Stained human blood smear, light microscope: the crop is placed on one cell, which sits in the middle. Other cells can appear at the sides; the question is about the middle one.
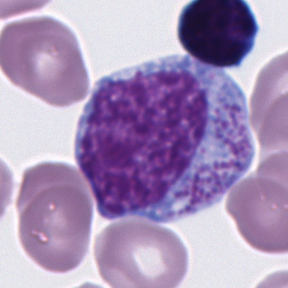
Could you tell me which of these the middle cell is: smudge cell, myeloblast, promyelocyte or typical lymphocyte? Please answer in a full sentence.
Looking at the middle of the crop, the cell there is a promyelocyte.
